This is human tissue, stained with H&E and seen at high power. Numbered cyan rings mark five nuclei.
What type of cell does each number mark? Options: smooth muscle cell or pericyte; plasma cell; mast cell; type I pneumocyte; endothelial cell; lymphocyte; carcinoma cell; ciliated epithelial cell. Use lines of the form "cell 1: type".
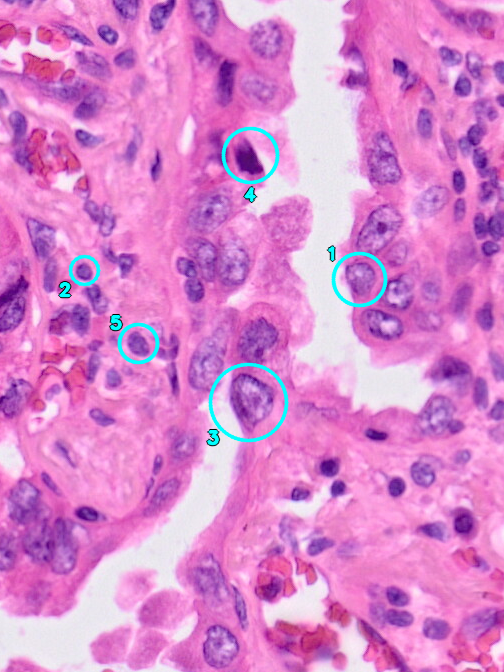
cell 1: carcinoma cell
cell 2: lymphocyte
cell 3: carcinoma cell
cell 4: carcinoma cell
cell 5: lymphocyte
